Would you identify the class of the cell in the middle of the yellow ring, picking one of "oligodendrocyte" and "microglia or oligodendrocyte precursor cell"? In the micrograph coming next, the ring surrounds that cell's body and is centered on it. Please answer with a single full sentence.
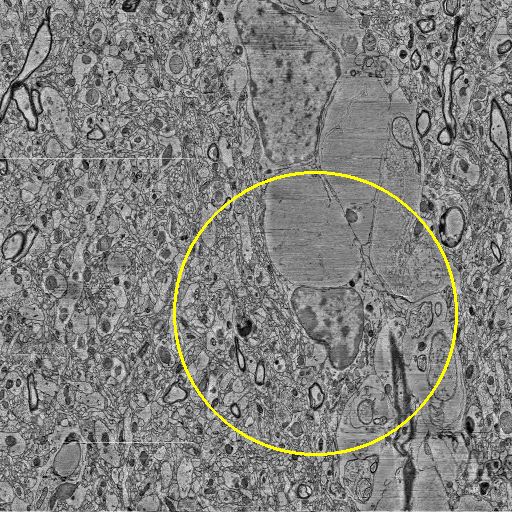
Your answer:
In the micrograph, it is a microglial cell or oligodendrocyte precursor cell whose body lies at the ring's center.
